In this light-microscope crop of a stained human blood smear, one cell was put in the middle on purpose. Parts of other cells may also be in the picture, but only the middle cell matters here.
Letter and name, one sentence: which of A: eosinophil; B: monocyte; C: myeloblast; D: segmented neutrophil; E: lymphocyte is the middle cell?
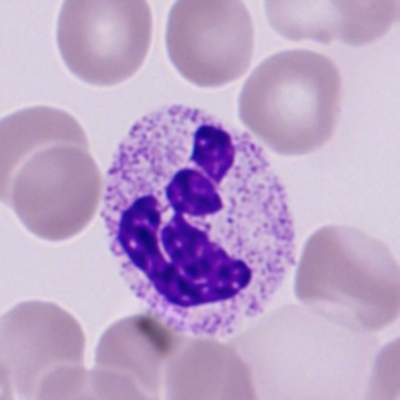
The cell in the middle is a segmented neutrophil, and so option D is correct.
